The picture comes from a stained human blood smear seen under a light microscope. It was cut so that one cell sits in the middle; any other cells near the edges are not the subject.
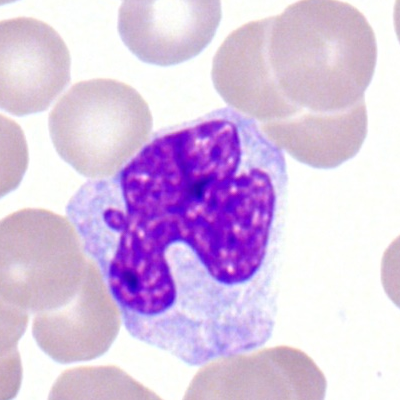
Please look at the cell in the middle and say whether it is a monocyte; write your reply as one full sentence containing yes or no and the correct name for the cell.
Yes, the middle cell here is a monocyte.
